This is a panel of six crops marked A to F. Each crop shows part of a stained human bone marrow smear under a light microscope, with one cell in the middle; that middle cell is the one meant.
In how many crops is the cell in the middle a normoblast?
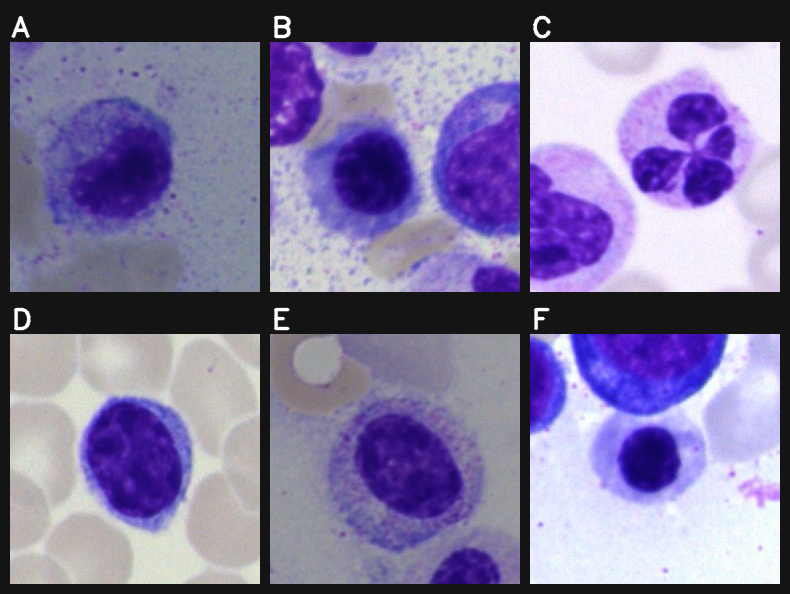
2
